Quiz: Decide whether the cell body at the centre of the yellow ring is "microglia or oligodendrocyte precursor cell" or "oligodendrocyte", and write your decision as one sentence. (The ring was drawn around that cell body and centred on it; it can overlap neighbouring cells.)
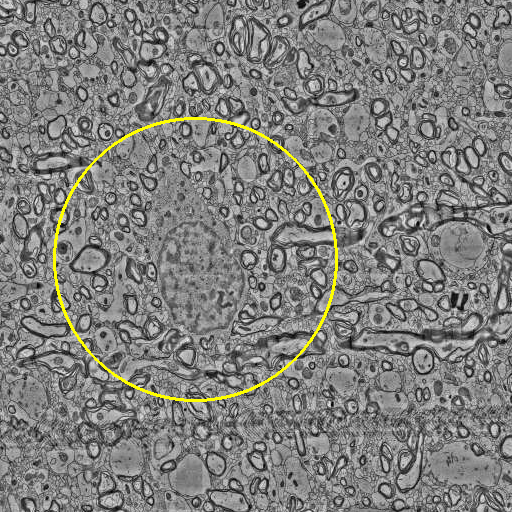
The cell the ring is centred on is an oligodendrocyte.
